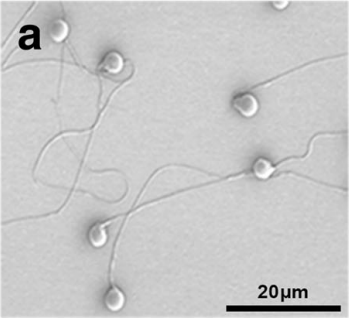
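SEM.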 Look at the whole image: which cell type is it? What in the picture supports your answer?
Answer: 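Sperm. Small round heads a few micrometres across. Each head bears a single long thin tail many times its length.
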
